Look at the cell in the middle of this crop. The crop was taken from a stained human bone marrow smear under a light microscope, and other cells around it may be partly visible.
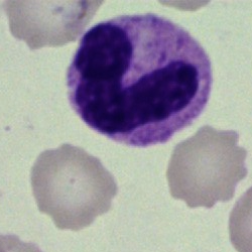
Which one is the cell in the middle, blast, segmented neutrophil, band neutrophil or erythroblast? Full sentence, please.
Here the cell in the middle is a band neutrophil.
